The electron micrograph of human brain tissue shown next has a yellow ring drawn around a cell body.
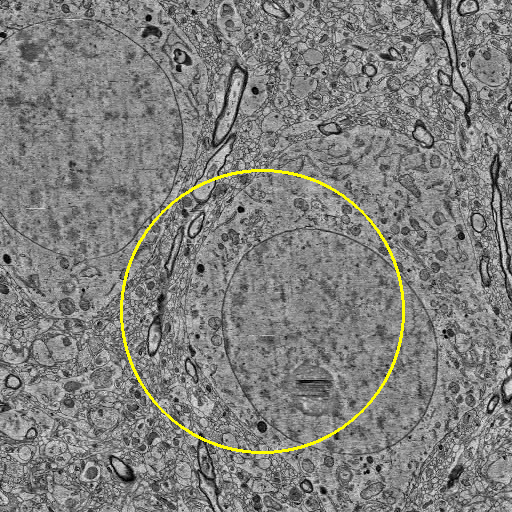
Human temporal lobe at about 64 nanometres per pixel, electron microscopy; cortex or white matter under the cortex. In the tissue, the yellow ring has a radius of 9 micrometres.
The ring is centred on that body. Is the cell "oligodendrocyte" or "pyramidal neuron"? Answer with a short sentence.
The cell in question is a pyramidal neuron.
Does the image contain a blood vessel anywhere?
No.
